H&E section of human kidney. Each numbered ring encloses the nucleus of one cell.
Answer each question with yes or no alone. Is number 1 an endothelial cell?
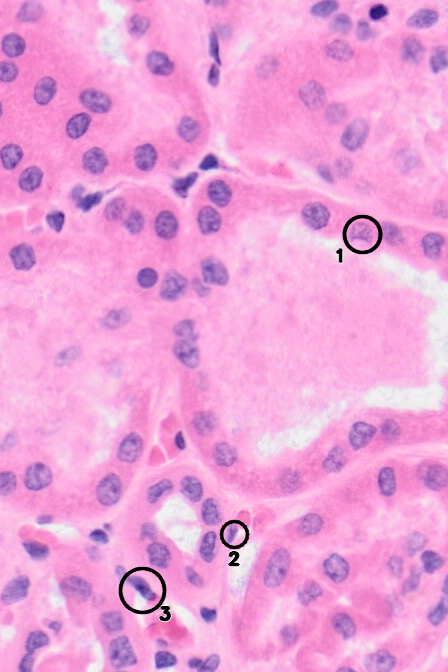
no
